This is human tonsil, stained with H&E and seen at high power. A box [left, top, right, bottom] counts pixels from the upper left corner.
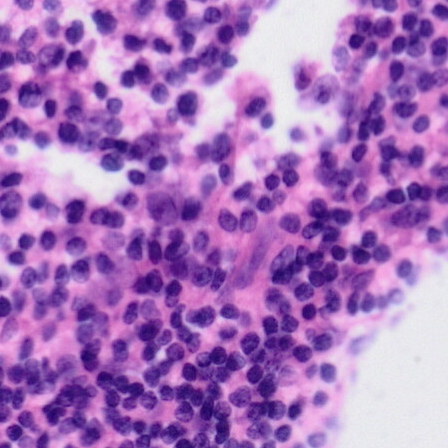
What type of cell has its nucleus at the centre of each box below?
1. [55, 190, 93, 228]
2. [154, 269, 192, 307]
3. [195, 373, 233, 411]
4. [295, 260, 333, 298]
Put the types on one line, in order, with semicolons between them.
proliferating B cell; small lymphocyte; small lymphocyte; small lymphocyte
